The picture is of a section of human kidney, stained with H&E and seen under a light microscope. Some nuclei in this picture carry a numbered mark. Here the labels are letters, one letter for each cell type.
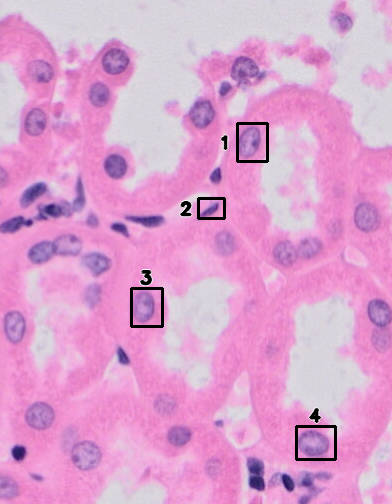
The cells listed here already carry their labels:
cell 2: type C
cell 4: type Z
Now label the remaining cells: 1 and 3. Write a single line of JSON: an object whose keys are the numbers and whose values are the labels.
{"1": "type Z", "3": "type Z"}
